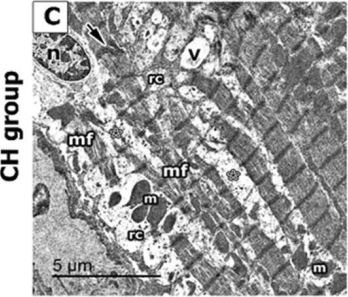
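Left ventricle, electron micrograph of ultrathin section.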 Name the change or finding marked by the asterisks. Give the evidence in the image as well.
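Wide separation between the myofibrils. The asterisks lie in pale, electron-lucent gaps between bundles of striated fibrils. The fibril bundles are pushed apart rather than tightly packed.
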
